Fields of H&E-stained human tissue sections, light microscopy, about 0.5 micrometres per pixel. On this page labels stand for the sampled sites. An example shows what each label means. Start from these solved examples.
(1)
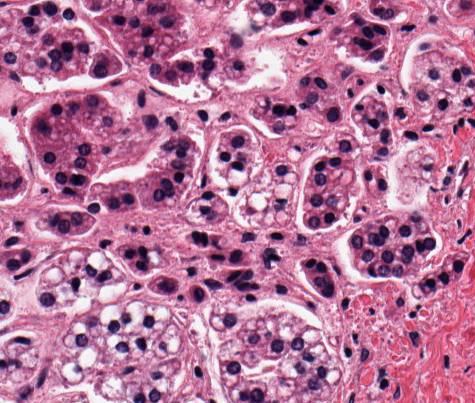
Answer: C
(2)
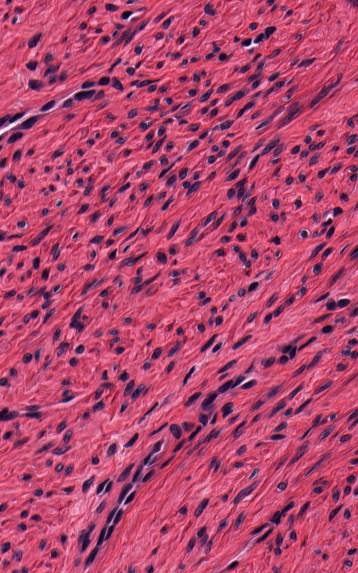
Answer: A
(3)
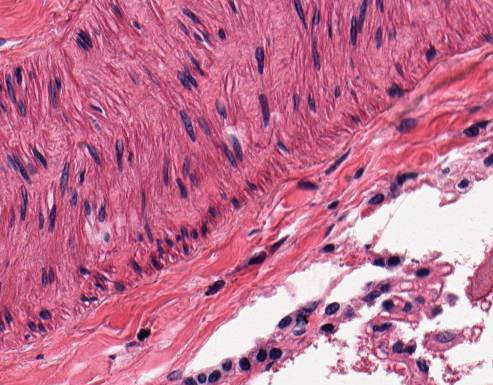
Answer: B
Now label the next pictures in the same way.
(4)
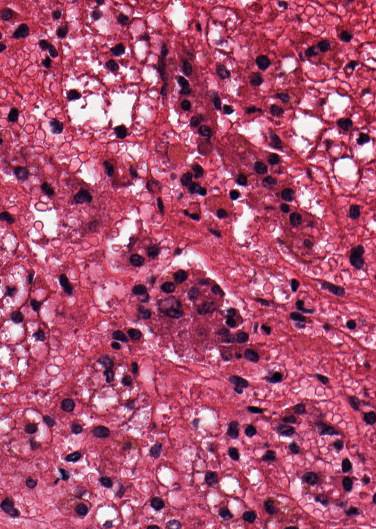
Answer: C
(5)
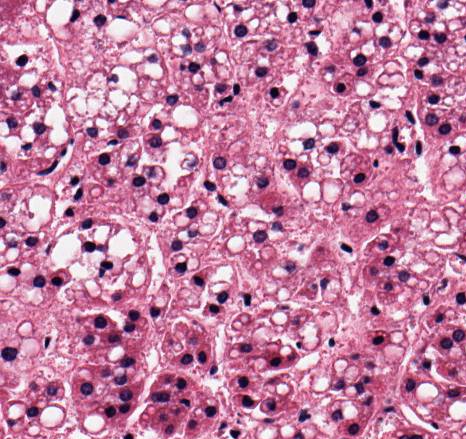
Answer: C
